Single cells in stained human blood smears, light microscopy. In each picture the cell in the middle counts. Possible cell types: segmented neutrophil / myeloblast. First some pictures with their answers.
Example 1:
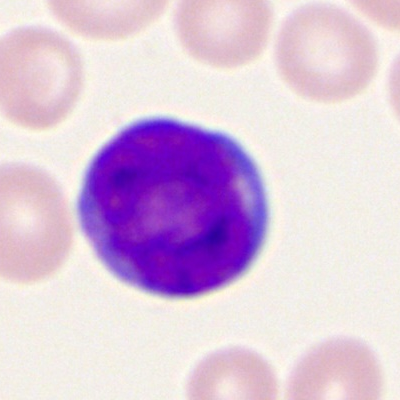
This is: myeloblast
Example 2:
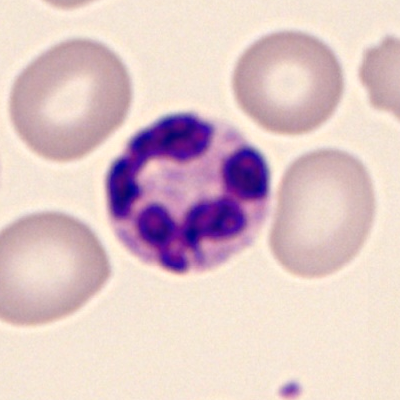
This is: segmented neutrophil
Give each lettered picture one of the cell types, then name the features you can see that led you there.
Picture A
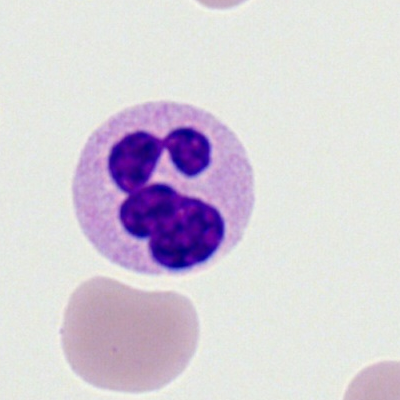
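segmented neutrophil: The cytoplasm is plentiful and pale pinkish-lilac.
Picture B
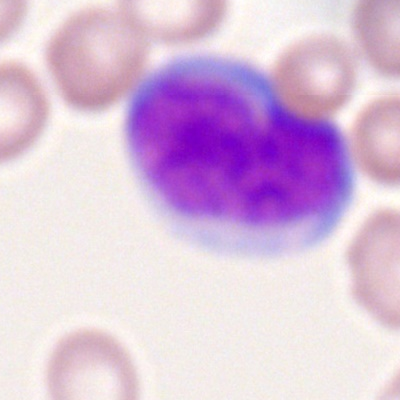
myeloblast: The nucleus fills most of the cell.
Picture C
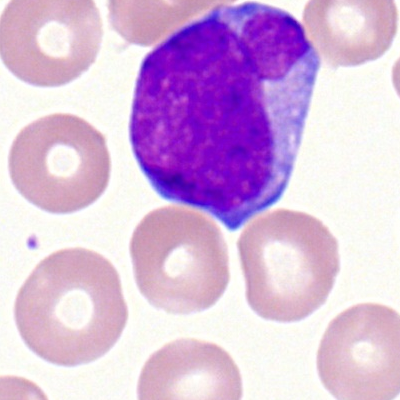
myeloblast: The nucleus fills most of the cell.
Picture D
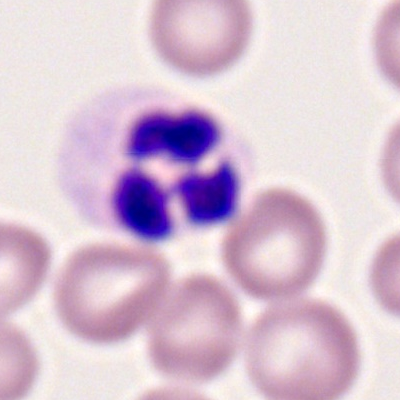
segmented neutrophil: The nucleus is divided into three separate lobes grouped around a pale centre.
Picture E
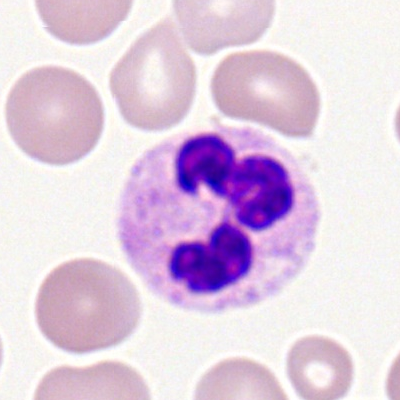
segmented neutrophil: The nucleus is divided into three separate lobes.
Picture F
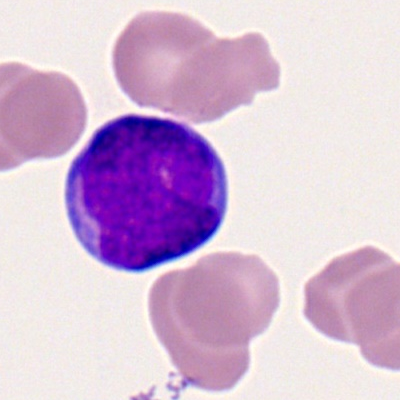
myeloblast: The nucleus fills almost the whole cell.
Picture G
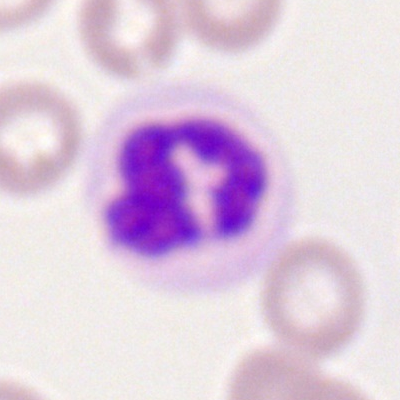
segmented neutrophil: The nucleus is lobed, with a pale cleft running through its middle.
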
